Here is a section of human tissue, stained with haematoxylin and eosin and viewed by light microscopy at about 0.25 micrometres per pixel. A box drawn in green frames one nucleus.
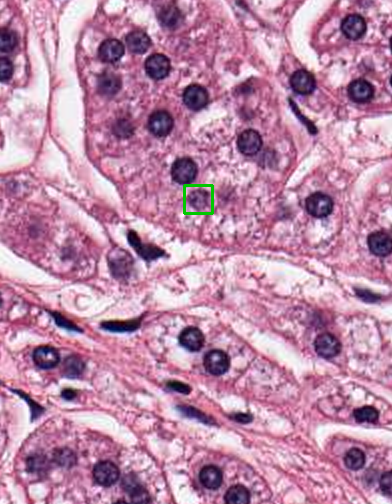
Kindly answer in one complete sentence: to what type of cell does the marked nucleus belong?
The owner of the marked nucleus is an adrenal cortical cell.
